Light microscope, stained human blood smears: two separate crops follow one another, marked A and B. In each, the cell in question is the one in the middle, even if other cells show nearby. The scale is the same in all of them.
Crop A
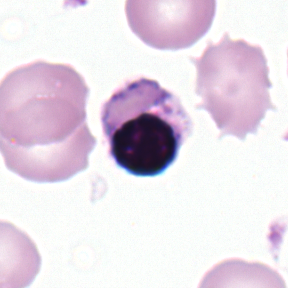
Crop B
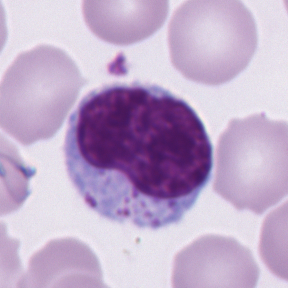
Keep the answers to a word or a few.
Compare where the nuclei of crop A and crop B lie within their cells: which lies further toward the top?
B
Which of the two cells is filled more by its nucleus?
B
